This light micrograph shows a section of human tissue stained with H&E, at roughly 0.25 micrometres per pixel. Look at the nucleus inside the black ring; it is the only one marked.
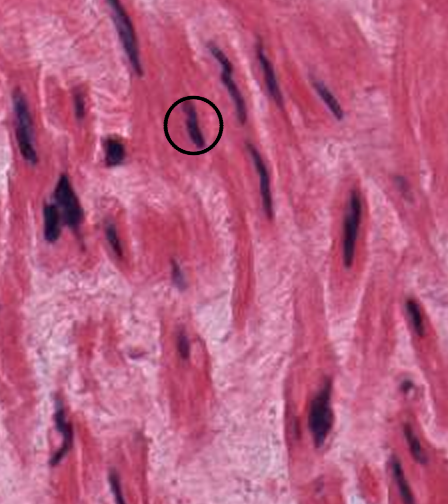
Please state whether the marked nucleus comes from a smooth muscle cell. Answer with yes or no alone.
yes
